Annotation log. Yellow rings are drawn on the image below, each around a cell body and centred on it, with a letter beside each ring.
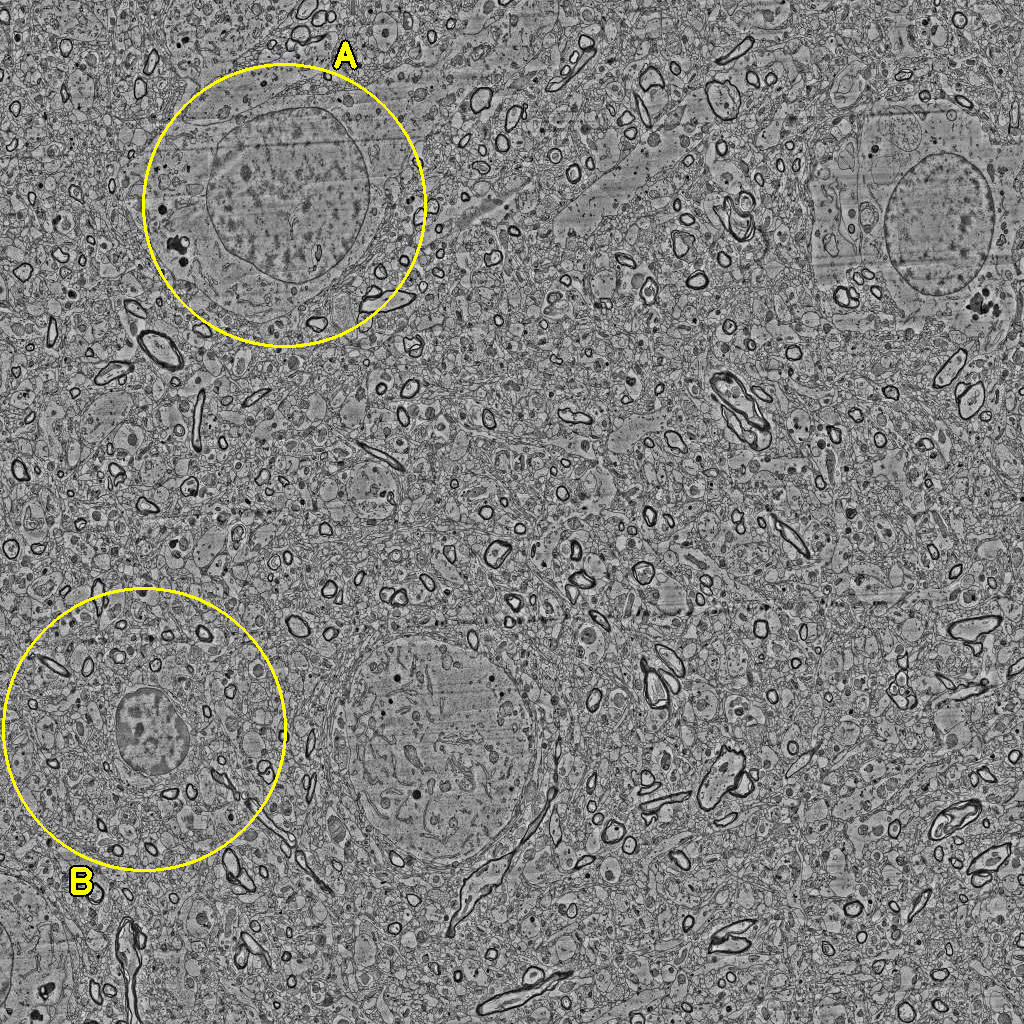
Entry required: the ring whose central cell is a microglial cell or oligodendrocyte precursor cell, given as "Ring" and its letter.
Ring B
